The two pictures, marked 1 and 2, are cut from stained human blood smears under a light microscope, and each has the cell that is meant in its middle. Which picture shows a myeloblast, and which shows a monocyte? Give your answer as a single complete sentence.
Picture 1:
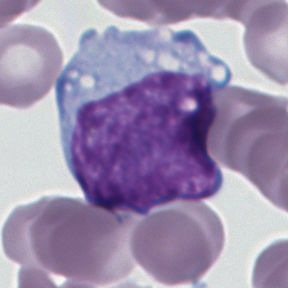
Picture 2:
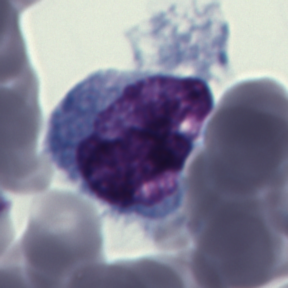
The cell in picture 1 is a myeloblast, and the one in picture 2 is a monocyte.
